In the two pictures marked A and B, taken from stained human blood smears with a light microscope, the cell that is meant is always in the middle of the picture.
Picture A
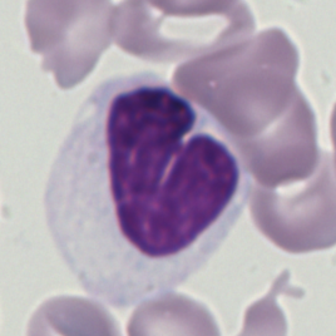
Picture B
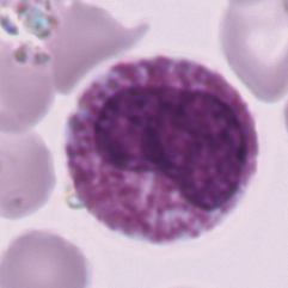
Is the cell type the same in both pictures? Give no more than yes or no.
no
